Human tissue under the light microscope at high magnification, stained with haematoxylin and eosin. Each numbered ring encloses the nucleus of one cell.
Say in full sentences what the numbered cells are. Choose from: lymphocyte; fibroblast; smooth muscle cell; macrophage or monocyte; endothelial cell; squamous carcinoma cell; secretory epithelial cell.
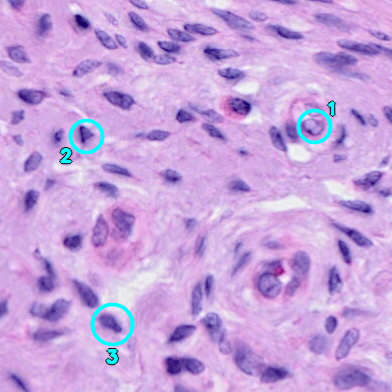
Cell 1 is an endothelial cell. Cells 2 and 3 are fibroblasts.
